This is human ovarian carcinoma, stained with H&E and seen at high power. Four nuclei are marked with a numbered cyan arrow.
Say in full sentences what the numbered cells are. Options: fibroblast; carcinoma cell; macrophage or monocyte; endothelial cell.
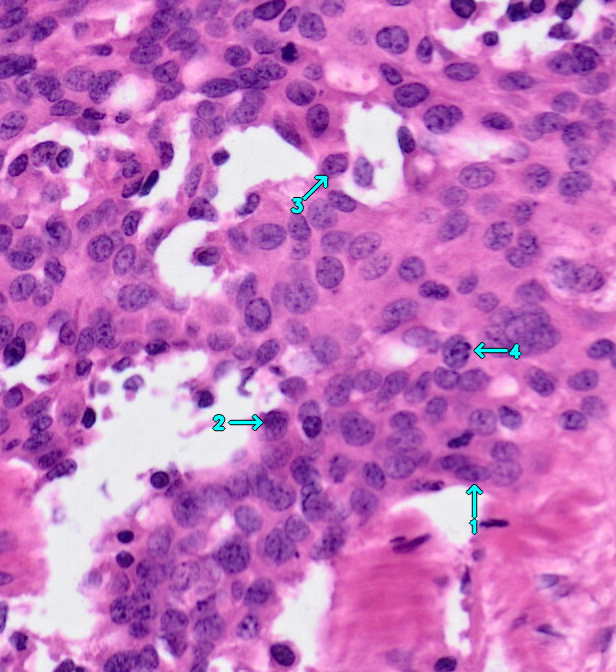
Cell 1 is a carcinoma cell, cell 2 is a carcinoma cell, cell 3 is a carcinoma cell and cell 4 is a macrophage or monocyte.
